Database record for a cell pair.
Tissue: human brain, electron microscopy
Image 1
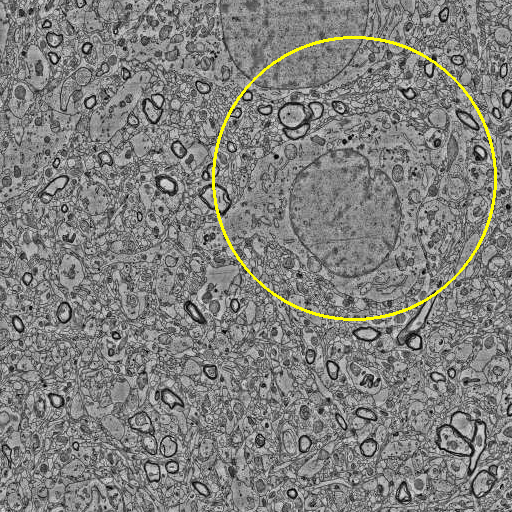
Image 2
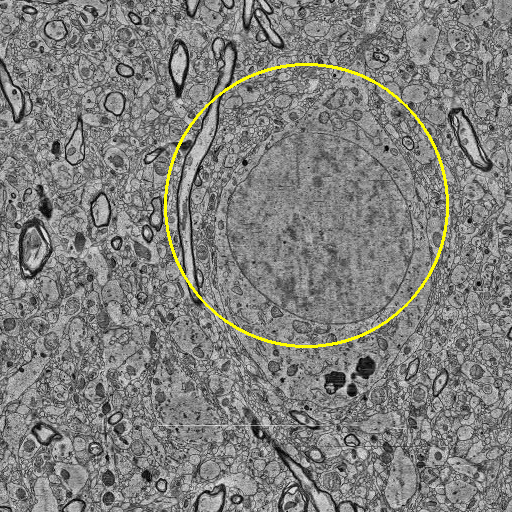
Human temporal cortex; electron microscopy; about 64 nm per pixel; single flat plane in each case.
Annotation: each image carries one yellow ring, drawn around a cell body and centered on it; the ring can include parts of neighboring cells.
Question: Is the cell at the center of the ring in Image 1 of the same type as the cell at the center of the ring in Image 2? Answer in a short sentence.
No, the cells are of two types.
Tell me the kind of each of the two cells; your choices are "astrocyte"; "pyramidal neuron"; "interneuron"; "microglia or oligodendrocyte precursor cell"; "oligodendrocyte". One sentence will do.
The ringed cell is an interneuron in the first picture and a pyramidal neuron in the second picture.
